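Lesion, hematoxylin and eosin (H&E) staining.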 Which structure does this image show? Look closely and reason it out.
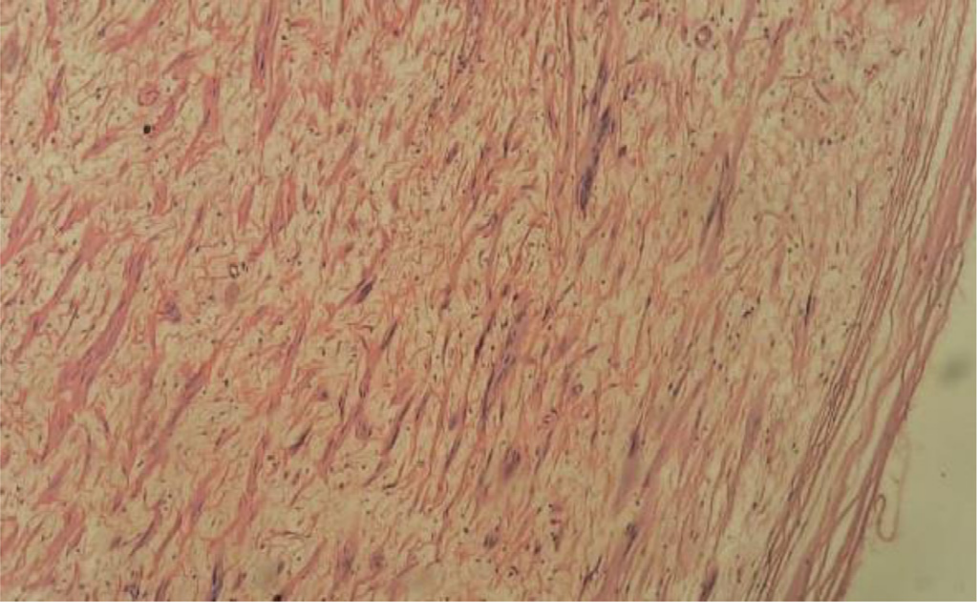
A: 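Collagen bundles. Wavy pink eosinophilic fibres run in roughly parallel streams across the field. The fibres lie between widely spaced purple nuclei. Pale, loose background between the fibres.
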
